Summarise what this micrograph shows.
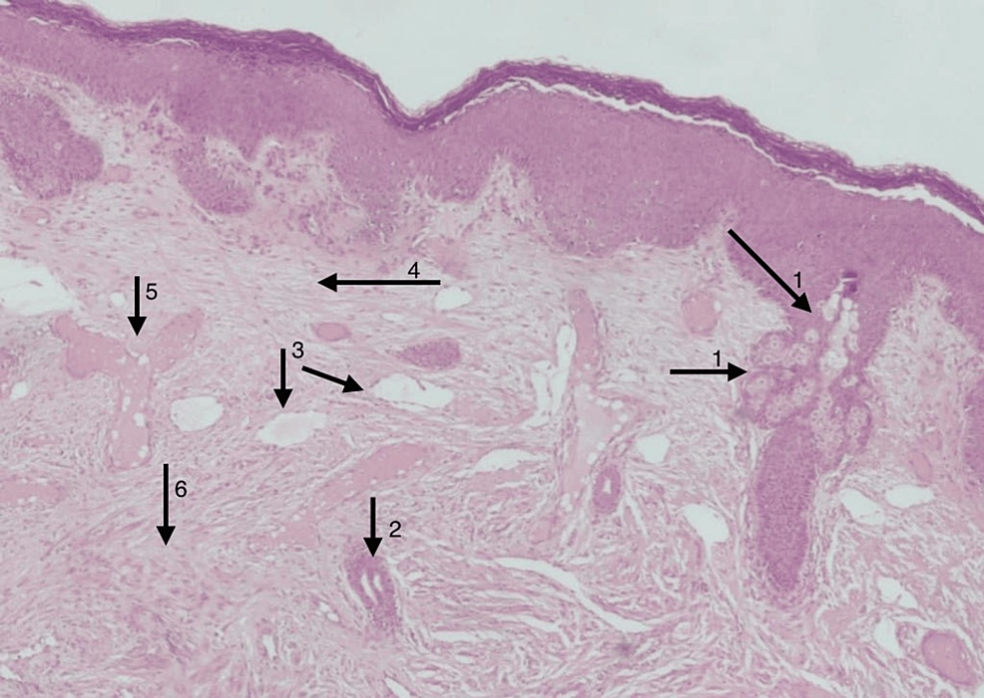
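Skin in section. A stratified squamous epidermis with a thin compact keratin layer covers a broad dermis. Rete ridges project downwards irregularly. On one side an epithelial cord descends from the epidermis deep into the dermis, with a small cluster of cells with pale, vacuolated cytoplasm beside it. The dermis is pale pink, made of interwoven fibrous connective tissue and scattered spindle-shaped cells. Many round and oval empty spaces are scattered through it, along with several solid pink elongated or branching structures. A small purple glandular profile sits deeper in the dermis.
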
